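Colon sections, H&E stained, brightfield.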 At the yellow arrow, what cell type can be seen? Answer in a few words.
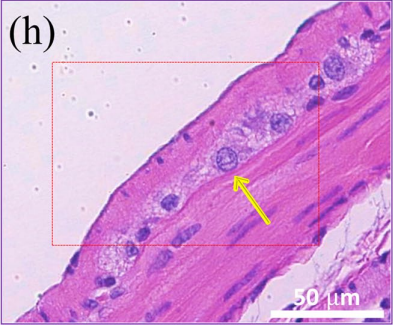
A: Ganglion cells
